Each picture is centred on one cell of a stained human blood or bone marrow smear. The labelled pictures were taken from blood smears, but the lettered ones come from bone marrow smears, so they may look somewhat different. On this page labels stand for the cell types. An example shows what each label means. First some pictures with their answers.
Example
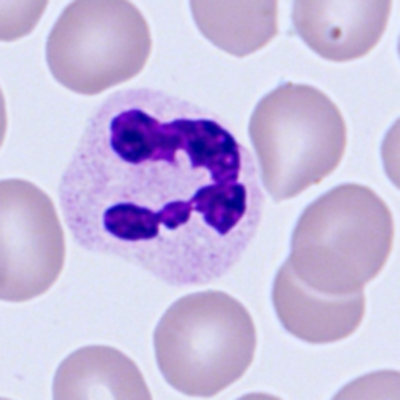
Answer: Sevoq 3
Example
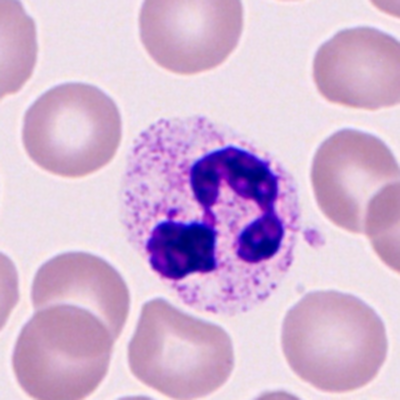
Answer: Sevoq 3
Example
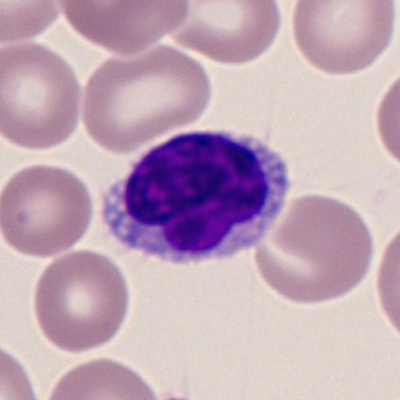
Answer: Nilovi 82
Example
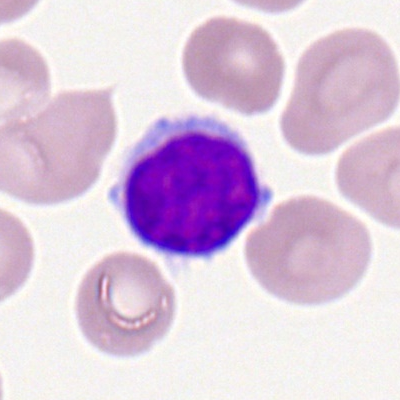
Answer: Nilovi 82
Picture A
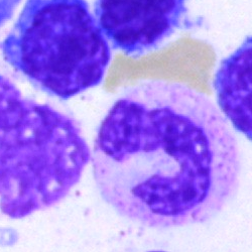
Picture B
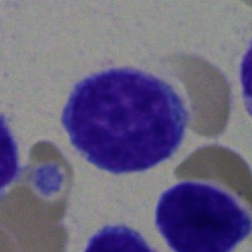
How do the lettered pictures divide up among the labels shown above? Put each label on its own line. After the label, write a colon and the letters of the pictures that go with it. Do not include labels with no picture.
Sevoq 3: A
Nilovi 82: B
